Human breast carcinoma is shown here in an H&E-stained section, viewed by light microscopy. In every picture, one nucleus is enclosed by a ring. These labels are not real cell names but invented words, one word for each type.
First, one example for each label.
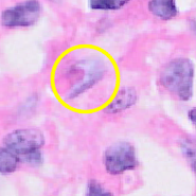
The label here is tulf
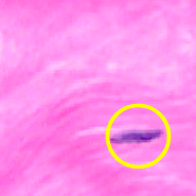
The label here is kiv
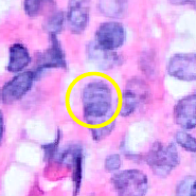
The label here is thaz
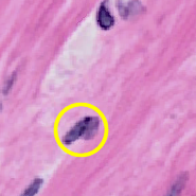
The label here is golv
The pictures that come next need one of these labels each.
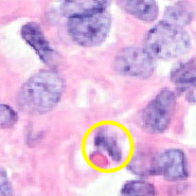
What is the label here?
tulf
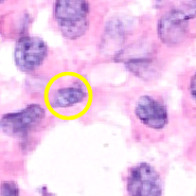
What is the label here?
tulf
